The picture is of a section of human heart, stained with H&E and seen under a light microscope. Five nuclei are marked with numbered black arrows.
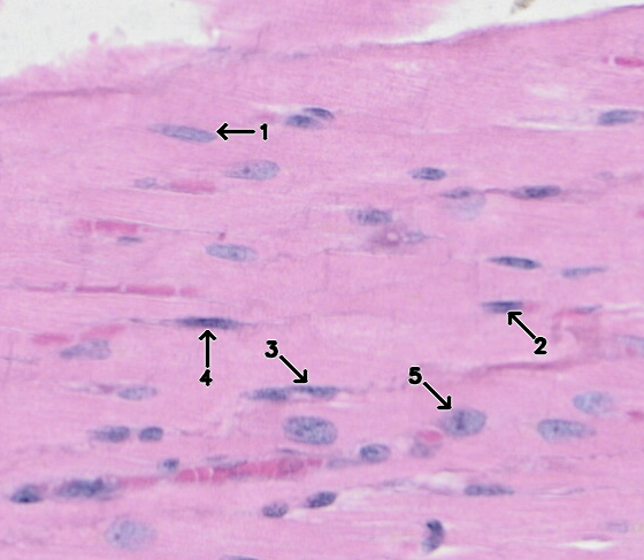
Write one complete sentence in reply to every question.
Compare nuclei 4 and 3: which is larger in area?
The larger nucleus is 4, at roughly 1.5 times the area of 3.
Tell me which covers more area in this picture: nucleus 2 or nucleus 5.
Nucleus 5 is the larger one, covering about 2 times the area of nucleus 2.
